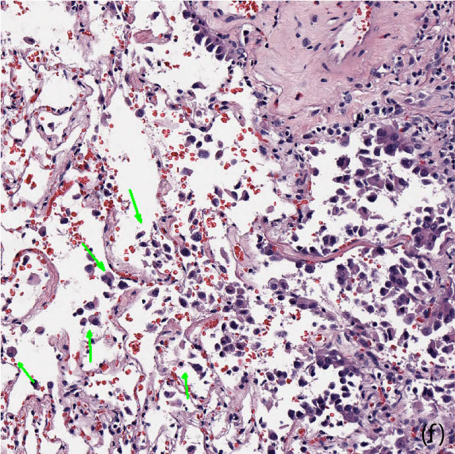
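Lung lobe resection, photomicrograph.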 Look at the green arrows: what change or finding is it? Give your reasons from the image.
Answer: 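The green arrows point to isolated cells lying free within open alveolar air spaces. The marked cells lie apart from one another, not joined in clusters or sheets. Thin pink alveolar walls and red blood cells surround the marked cells.
Conclusion: scattered discohesive single cells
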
